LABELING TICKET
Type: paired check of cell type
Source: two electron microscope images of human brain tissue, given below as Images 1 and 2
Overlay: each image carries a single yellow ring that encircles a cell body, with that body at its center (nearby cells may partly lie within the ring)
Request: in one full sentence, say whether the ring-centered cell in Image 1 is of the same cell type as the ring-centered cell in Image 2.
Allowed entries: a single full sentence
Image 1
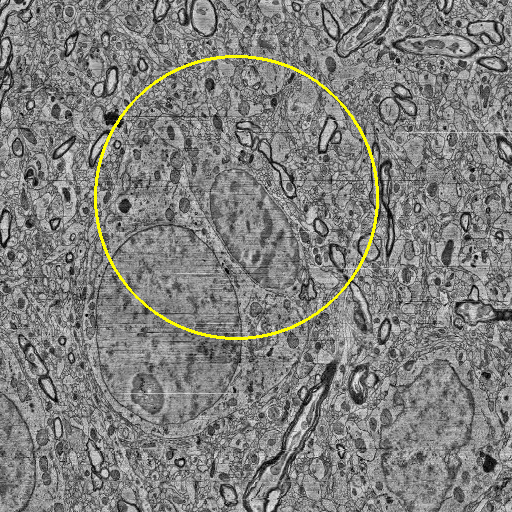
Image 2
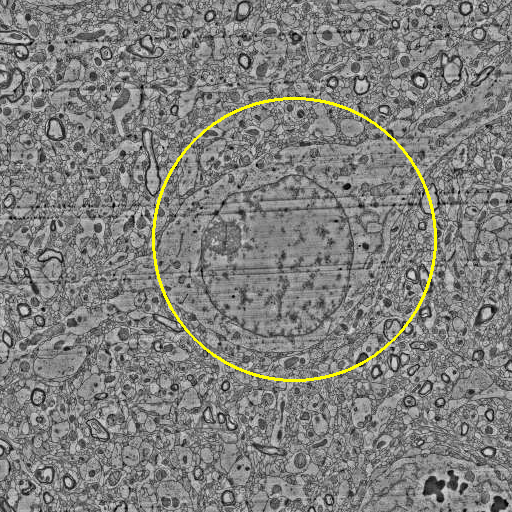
No, the cells centered in the rings of Image 1 and Image 2 are of two types.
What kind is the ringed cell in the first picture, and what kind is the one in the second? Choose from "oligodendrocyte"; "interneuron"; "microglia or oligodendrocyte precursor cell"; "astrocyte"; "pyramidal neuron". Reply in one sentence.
The first cell is an oligodendrocyte; the second is a pyramidal neuron.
